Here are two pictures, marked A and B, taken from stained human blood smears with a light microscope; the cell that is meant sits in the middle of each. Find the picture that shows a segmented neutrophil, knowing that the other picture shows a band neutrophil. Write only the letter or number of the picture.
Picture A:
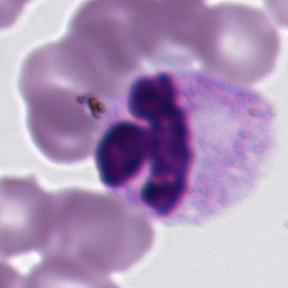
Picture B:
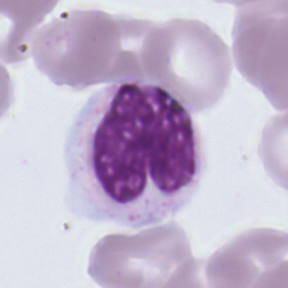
A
